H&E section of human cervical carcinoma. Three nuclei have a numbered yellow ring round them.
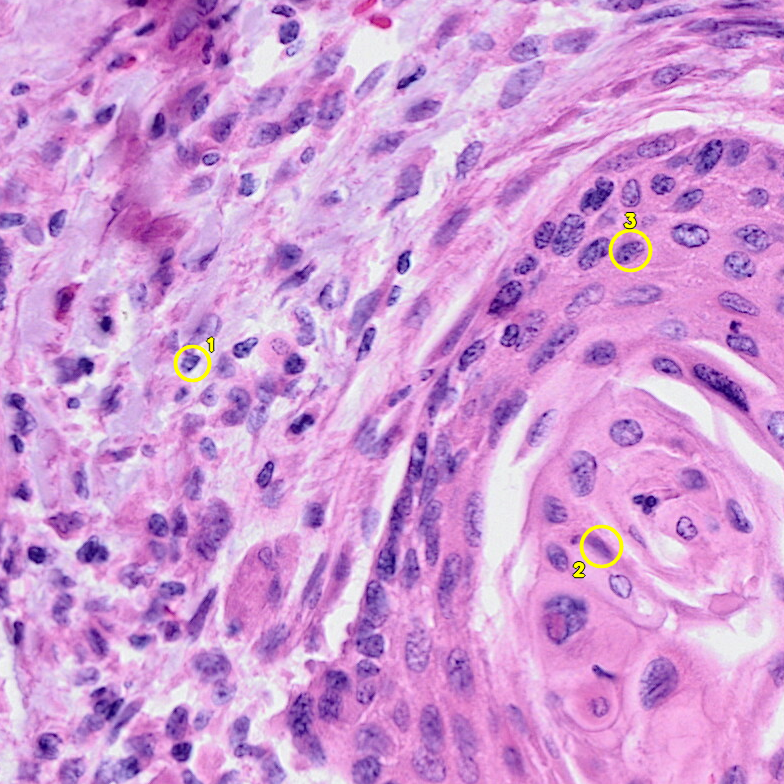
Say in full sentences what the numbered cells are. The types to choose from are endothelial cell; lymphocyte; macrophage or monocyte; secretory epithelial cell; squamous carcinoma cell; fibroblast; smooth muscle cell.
Cell 1 is a lymphocyte. Cells 2 and 3 are squamous carcinoma cells.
